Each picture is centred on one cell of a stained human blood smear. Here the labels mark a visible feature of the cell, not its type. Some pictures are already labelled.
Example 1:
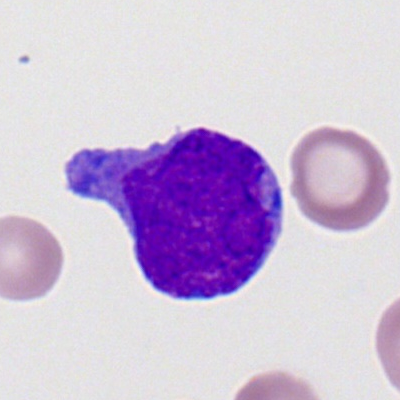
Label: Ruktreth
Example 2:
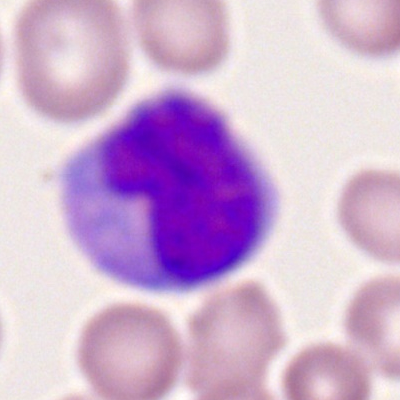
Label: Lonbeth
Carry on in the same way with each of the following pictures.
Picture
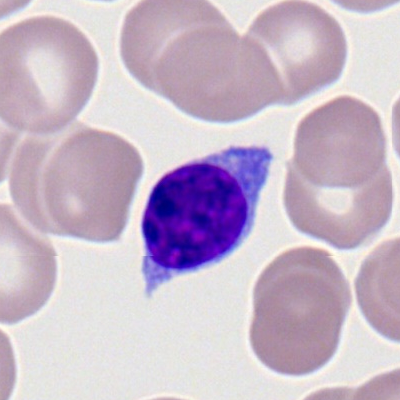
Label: Ruktreth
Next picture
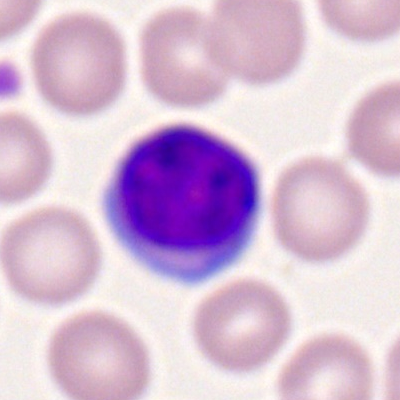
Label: Lonbeth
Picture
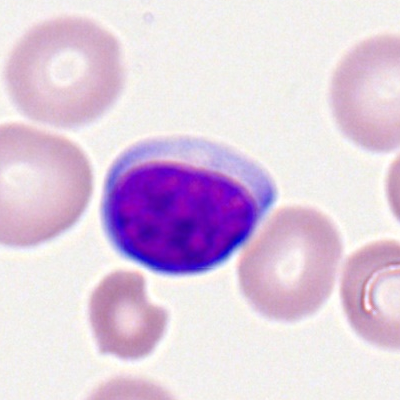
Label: Lonbeth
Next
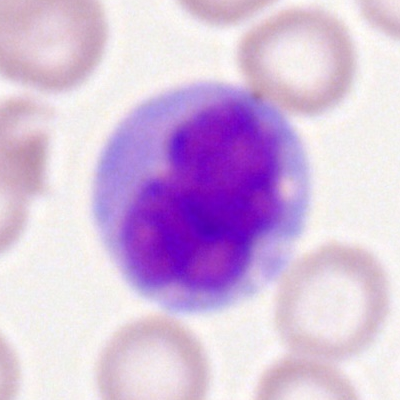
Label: Lonbeth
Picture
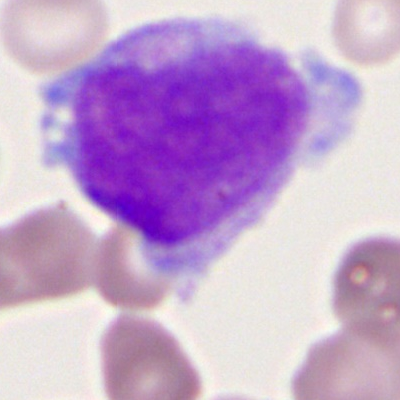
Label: Ruktreth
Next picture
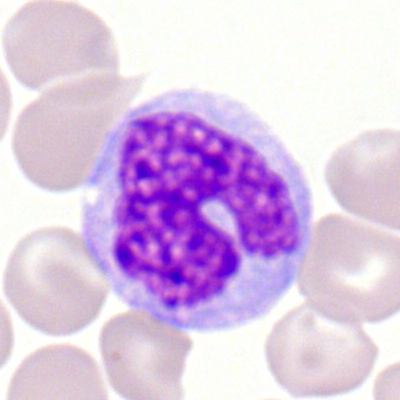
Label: Lonbeth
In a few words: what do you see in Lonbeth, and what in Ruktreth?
Lonbeth: smooth outline; Ruktreth: ragged outline or projections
